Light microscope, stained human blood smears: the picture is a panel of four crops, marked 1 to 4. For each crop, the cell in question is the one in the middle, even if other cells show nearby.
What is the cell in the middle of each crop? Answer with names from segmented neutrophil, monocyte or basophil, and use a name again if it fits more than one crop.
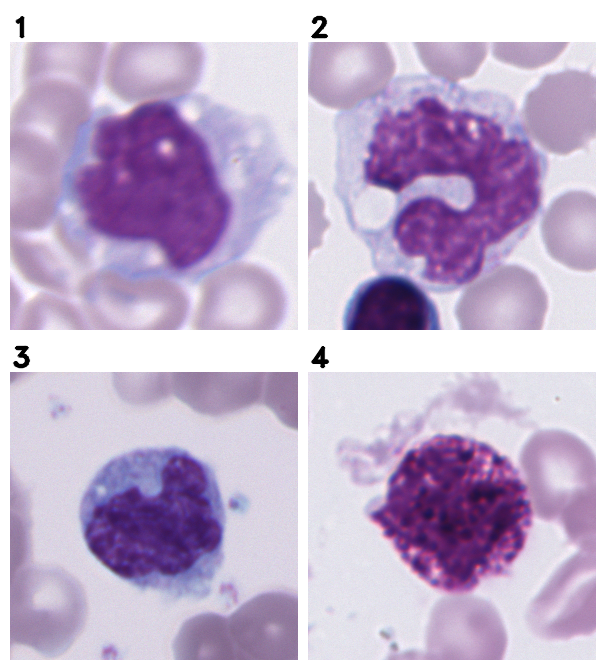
1: monocyte
2: monocyte
3: monocyte
4: basophil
